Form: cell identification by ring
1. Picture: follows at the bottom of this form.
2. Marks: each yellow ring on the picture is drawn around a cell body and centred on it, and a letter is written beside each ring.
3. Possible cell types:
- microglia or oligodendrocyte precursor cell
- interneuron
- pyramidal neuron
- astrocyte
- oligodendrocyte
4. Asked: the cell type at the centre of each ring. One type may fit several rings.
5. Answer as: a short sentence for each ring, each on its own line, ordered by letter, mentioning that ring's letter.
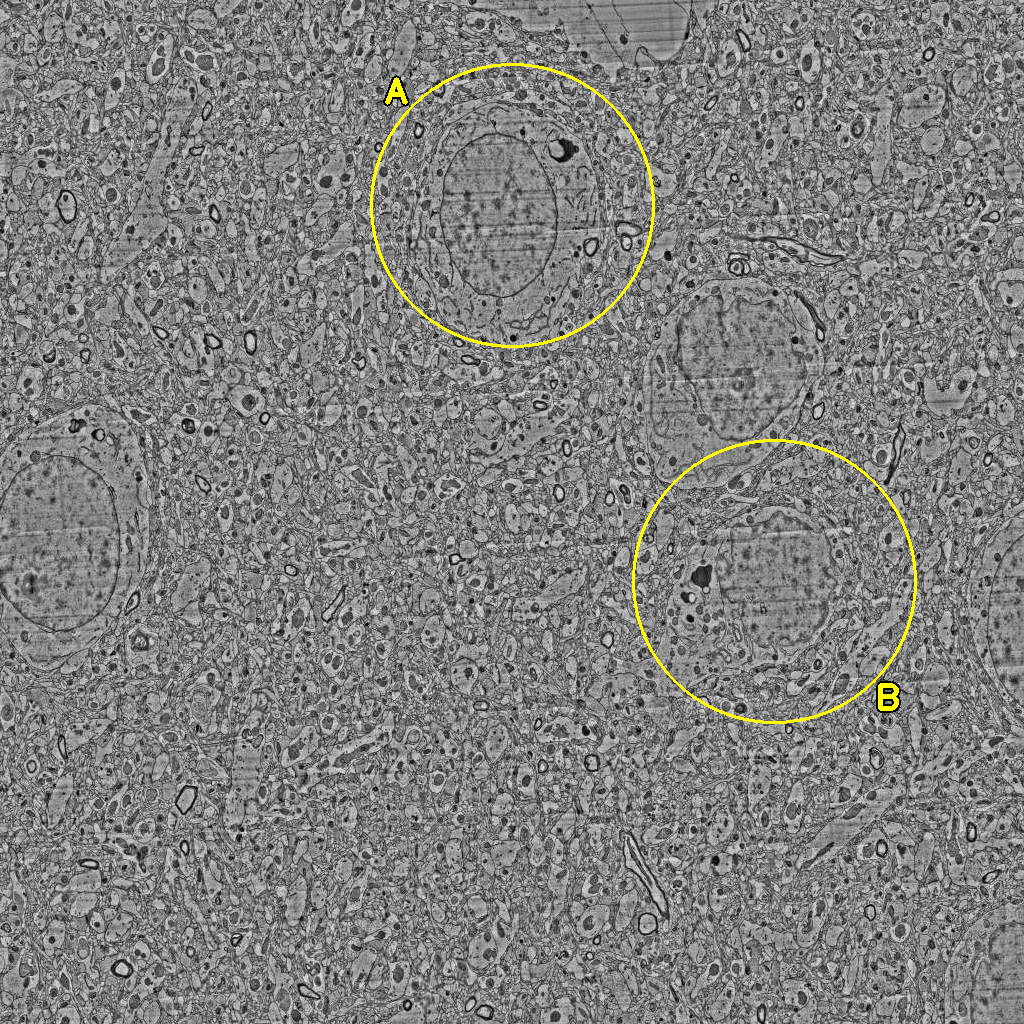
The cell at ring A's centre is a pyramidal neuron.
The cell at ring B's centre is an interneuron.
